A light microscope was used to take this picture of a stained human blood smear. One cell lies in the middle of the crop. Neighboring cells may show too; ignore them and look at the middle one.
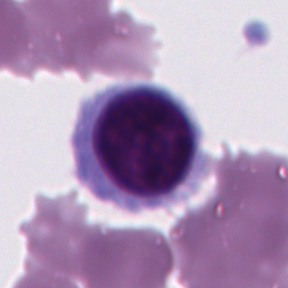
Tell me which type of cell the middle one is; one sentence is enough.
The central cell, amid any neighbouring cells, is a hairy cell.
